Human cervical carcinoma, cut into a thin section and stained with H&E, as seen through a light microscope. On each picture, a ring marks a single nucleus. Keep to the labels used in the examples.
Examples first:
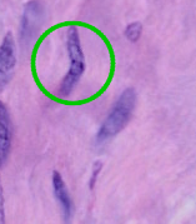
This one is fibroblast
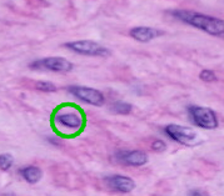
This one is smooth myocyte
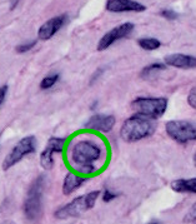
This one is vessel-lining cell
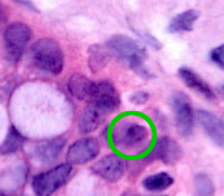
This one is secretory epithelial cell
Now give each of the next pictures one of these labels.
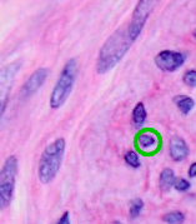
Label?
smooth myocyte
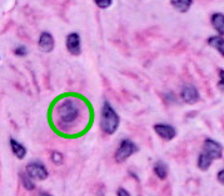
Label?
smooth myocyte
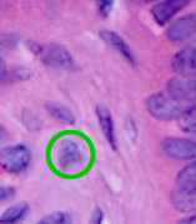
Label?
fibroblast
